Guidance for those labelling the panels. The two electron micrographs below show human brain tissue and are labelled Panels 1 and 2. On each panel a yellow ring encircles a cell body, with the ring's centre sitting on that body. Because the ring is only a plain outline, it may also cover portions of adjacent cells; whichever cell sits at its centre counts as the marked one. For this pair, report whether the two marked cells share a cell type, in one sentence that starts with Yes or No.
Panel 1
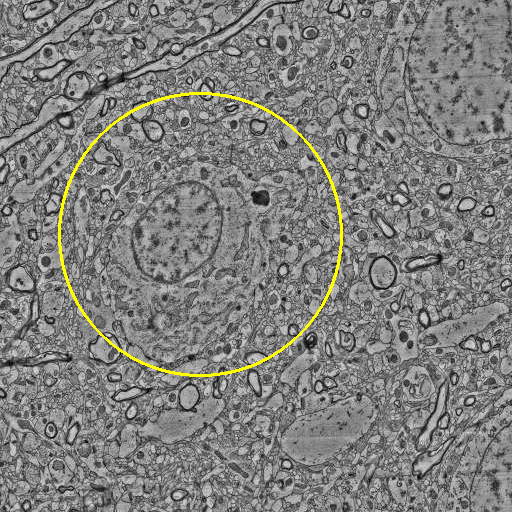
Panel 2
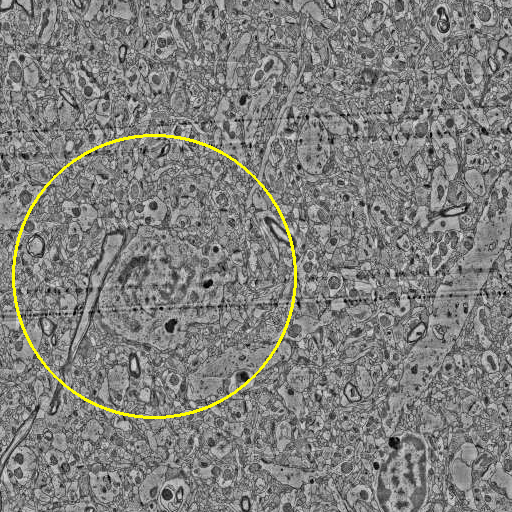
Yes, in Panel 1 and Panel 2 the marked cells at the ring centres share one type.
